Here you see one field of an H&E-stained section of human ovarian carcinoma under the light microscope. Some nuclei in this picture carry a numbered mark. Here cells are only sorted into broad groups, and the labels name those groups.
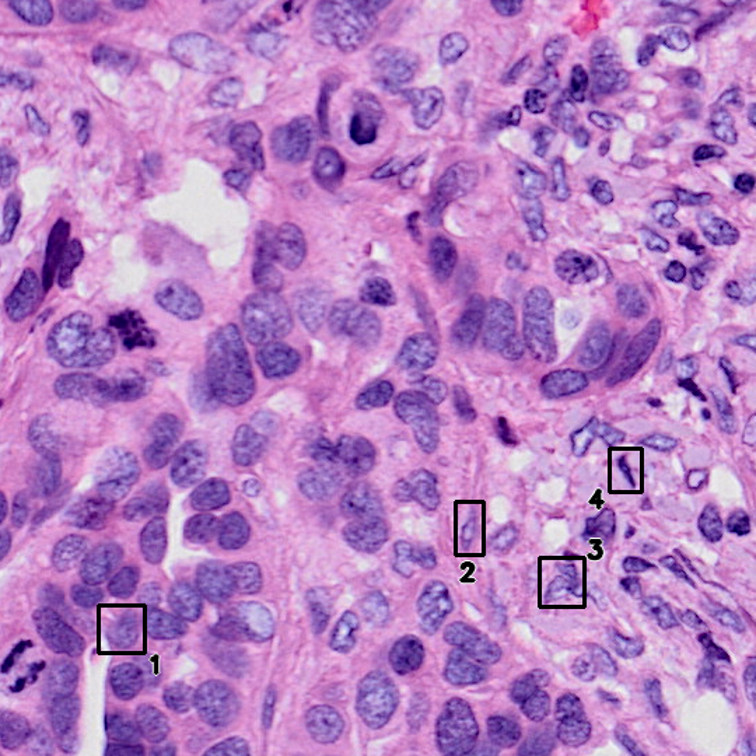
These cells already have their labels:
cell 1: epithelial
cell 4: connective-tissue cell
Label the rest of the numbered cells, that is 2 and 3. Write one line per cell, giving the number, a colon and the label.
2: connective-tissue cell
3: connective-tissue cell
